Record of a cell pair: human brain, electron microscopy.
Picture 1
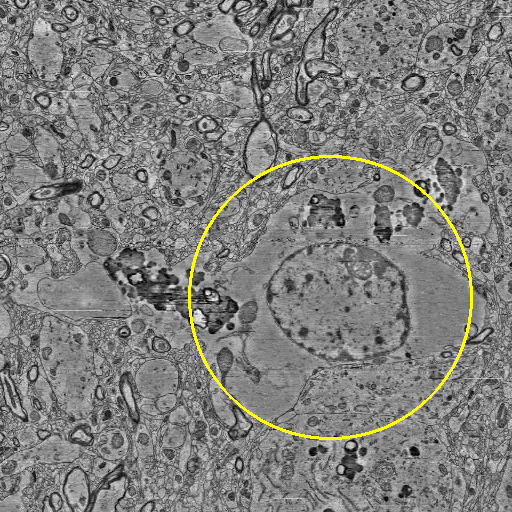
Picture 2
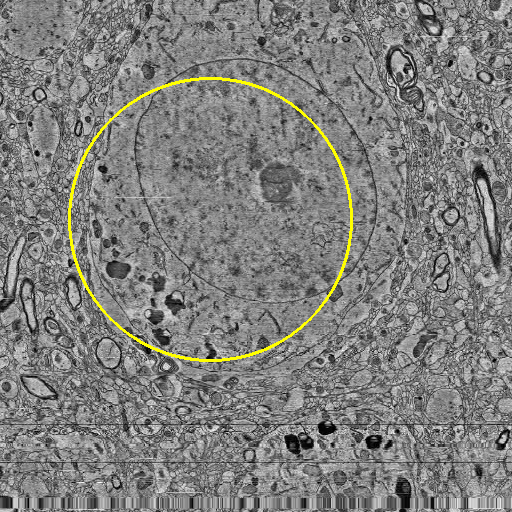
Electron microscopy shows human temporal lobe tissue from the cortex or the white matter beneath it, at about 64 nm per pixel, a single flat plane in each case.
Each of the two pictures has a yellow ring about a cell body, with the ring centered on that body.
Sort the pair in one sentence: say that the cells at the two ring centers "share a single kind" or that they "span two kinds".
The cells centered in the rings of Pictures 1 and 2 span two kinds.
